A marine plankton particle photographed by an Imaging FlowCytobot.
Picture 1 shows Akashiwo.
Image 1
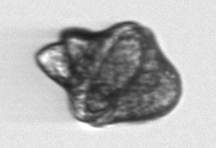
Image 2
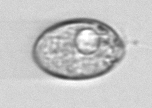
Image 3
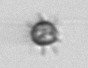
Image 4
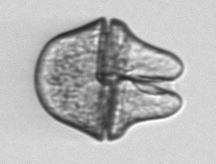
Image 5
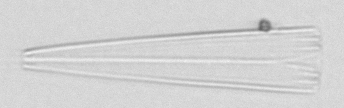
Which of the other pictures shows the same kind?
Picture 4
